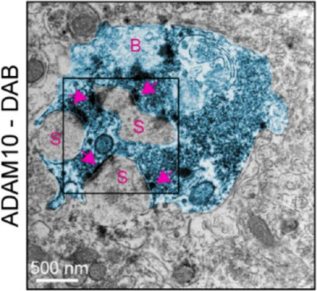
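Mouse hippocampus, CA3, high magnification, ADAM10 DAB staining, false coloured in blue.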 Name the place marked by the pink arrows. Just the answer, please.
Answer: presynaptic site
